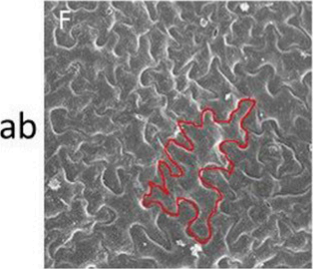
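This scanning electron view shows the epidermis of a leaf, covered in small interlocking epidermal cells with strongly wavy, lobed walls. The cell traced in red shows many deep lobes that slot between those of its neighbours.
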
